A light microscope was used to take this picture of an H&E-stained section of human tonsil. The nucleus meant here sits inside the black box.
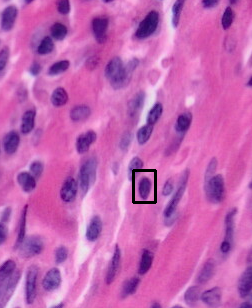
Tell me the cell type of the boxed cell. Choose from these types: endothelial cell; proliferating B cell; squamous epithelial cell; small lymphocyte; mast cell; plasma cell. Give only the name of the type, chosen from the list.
mast cell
